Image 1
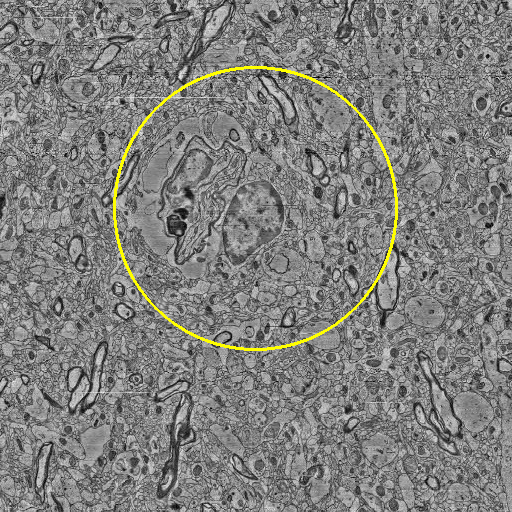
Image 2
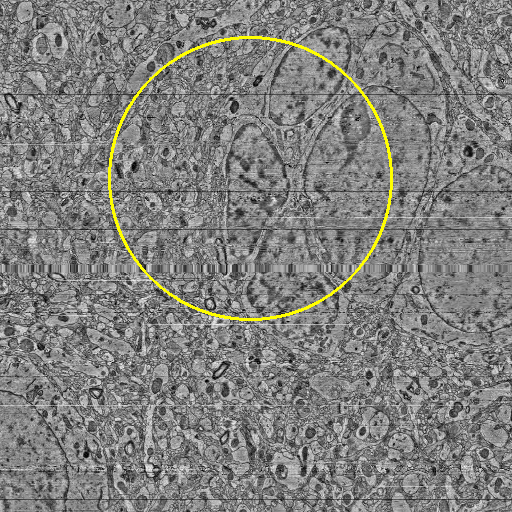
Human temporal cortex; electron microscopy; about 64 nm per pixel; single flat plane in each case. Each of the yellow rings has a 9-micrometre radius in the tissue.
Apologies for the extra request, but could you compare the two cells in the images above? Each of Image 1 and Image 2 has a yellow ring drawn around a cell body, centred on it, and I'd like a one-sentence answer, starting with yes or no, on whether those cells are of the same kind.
Yes, both cells are of the same kind.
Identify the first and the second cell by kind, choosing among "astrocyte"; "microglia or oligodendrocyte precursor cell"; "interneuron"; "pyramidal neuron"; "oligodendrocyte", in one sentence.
Each of the ringed cells, first and second, is a microglial cell or oligodendrocyte precursor cell.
